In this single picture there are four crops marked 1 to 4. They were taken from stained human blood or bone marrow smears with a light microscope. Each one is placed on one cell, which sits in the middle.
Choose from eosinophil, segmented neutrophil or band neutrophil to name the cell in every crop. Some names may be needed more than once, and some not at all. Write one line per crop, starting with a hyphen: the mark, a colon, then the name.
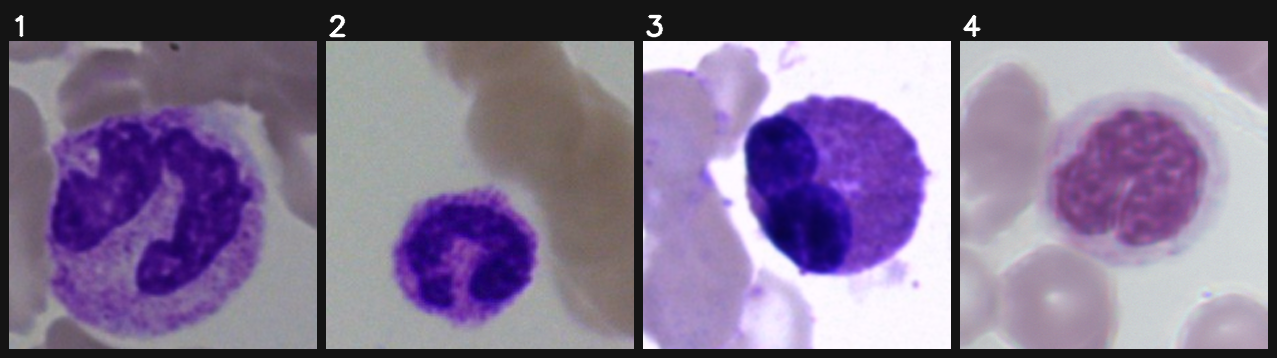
- 1: segmented neutrophil
- 2: segmented neutrophil
- 3: eosinophil
- 4: band neutrophil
